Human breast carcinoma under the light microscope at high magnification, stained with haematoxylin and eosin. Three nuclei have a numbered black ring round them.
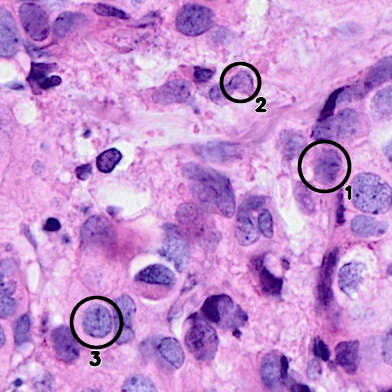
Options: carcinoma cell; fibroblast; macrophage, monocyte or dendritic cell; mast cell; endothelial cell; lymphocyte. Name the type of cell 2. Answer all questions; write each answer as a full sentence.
Cell 2 in the field of view is a macrophage, monocyte or dendritic cell.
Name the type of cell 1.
The cell marked with the number 1 is a carcinoma cell.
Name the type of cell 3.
Cell 3 of the marked set is a carcinoma cell.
